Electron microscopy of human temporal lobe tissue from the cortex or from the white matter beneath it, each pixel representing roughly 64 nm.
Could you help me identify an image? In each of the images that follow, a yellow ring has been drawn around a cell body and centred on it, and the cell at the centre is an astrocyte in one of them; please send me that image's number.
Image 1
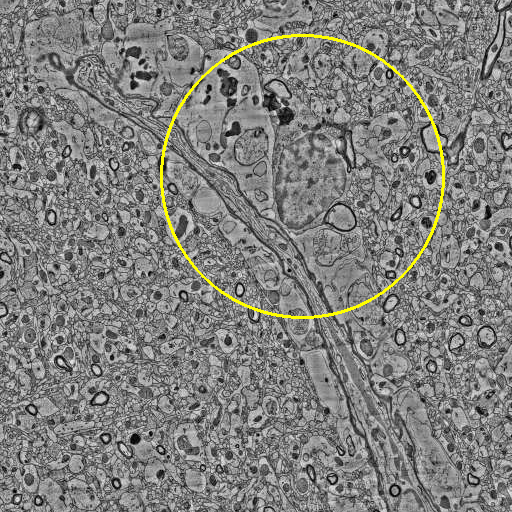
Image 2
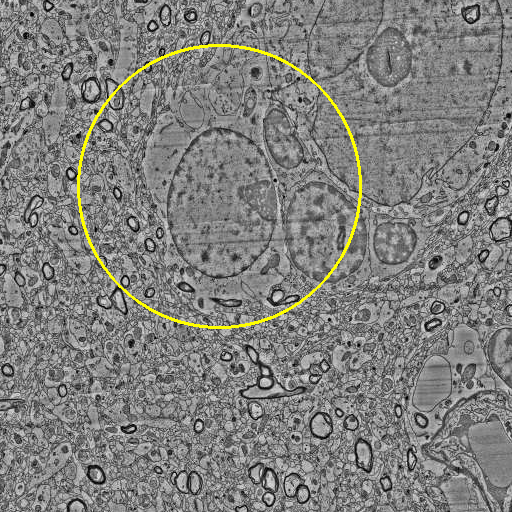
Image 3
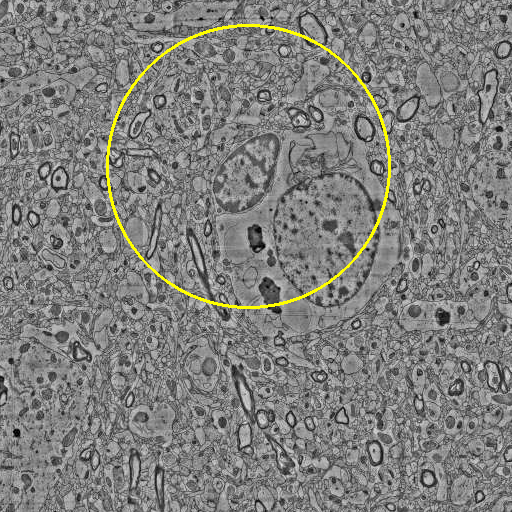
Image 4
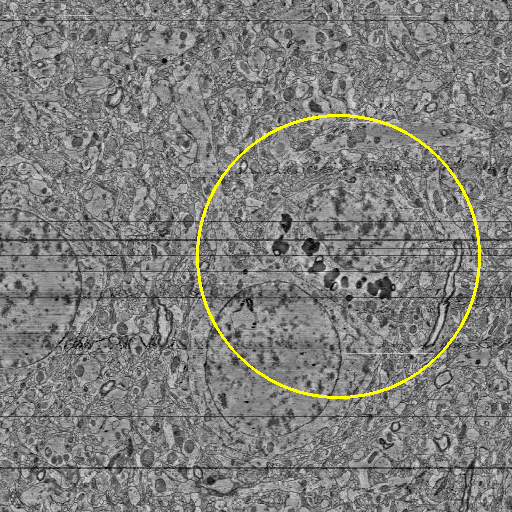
2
